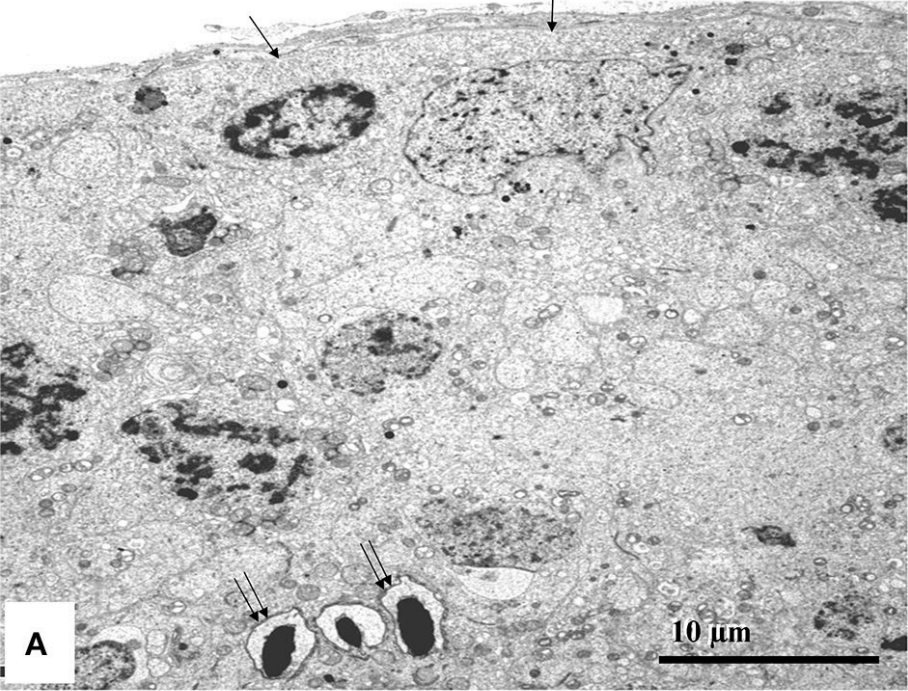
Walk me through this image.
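Seminiferous epithelium of the testis seen by transmission electron microscopy, with germ cells between the outer basement membrane and the deeper lumen side. A thin, smooth basement membrane borders the epithelium along the top edge. Several round to oval nuclei with clumped dense chromatin lie within a pale, finely granular cytoplasm containing many small round vesicles and mitochondria. Near the bottom, small sperm profiles with very dense, condensed heads lie within clear rims bounded by membranes.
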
